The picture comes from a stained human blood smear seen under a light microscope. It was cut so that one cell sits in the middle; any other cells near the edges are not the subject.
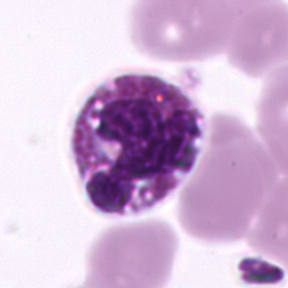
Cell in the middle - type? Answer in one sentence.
This crop is built around an eosinophil at its centre.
